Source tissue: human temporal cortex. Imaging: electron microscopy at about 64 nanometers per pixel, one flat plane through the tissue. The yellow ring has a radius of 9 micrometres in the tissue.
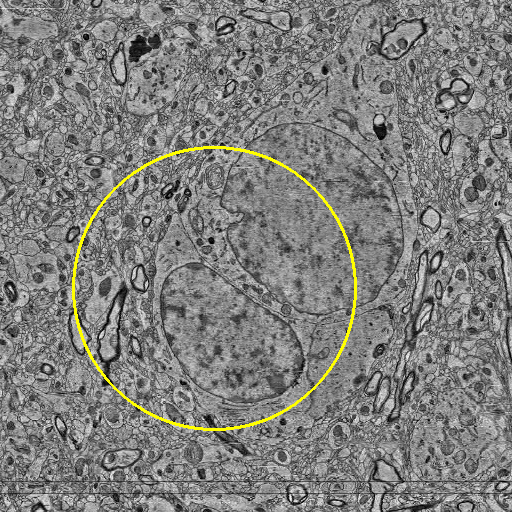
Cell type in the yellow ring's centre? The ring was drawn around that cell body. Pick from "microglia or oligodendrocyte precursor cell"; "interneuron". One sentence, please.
The ringed cell body is that of a microglial cell or oligodendrocyte precursor cell.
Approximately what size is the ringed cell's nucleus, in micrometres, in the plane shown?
Approximately 11 micrometres long and 7 micrometres wide, so clearly longer than it is wide in this plane.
